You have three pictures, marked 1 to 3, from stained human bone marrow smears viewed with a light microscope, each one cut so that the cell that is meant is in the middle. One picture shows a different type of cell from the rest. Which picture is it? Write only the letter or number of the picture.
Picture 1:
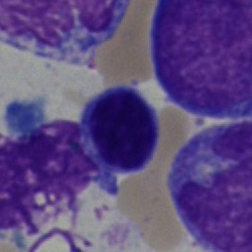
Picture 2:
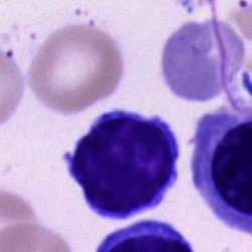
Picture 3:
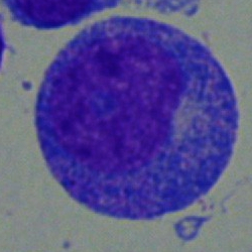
3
